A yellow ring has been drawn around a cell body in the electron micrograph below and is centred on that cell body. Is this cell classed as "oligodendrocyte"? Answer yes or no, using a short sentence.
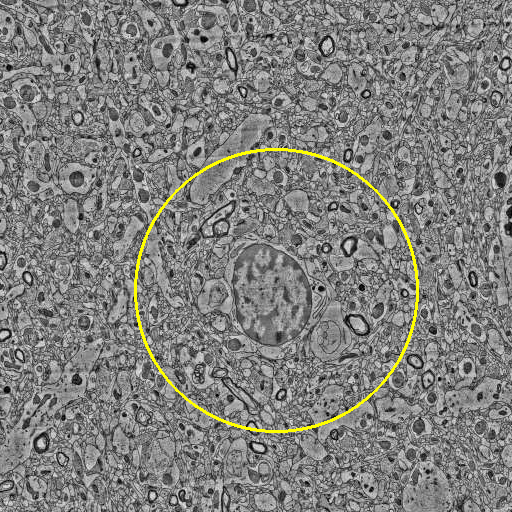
No, it is classed as another kind.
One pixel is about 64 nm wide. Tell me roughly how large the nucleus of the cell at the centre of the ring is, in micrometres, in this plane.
Roughly 6 by 5 micrometres is the size of the nucleus in this plane.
